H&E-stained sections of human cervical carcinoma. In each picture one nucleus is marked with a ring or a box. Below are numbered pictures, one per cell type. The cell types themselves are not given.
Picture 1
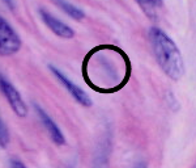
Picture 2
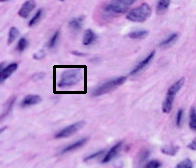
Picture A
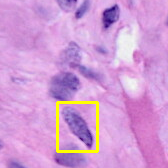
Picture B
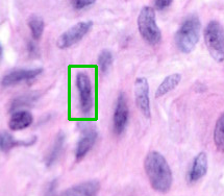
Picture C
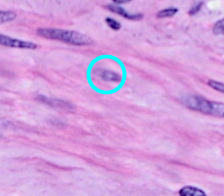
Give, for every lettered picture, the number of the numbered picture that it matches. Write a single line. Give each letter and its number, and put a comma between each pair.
A 2, B 2, C 1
